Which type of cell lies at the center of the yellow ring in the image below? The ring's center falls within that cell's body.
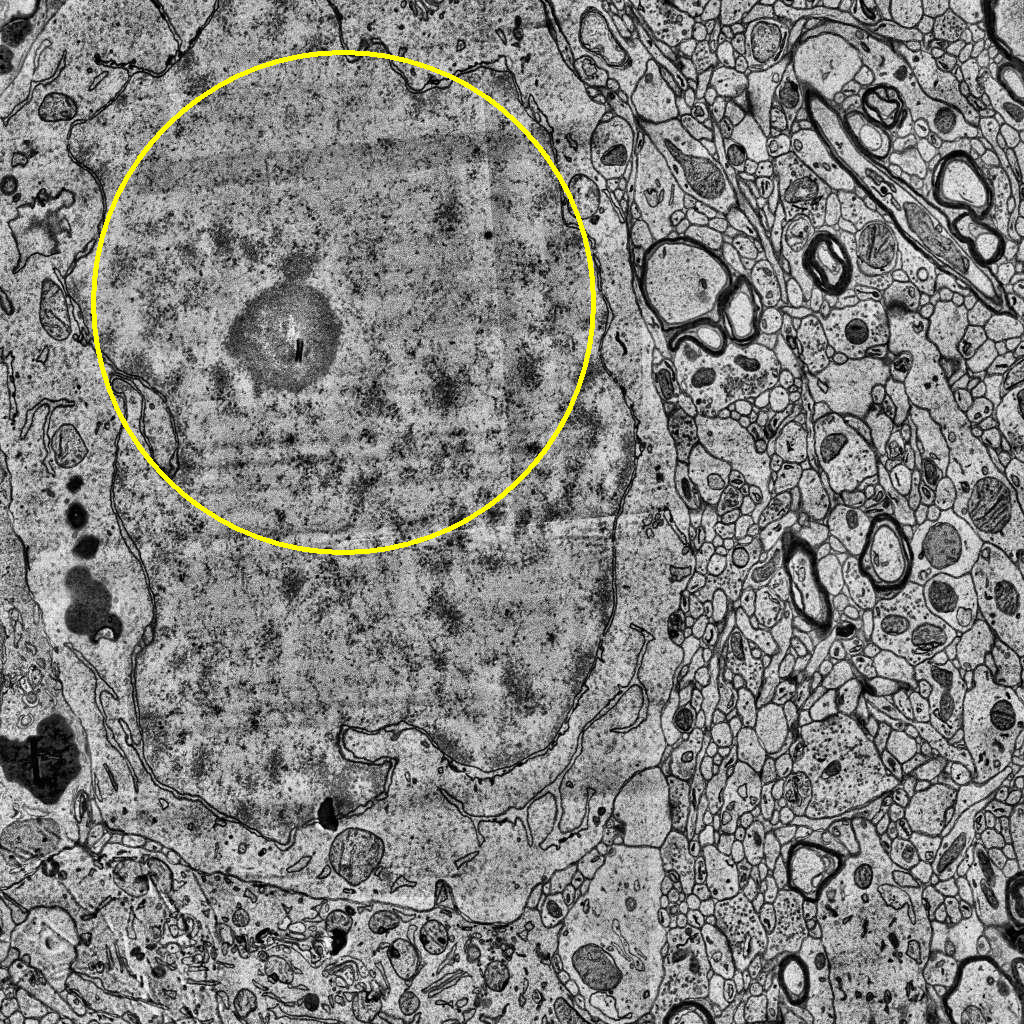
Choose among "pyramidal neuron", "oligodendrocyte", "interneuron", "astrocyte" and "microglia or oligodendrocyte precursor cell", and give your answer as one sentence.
The cell body at the center belongs to an interneuron.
